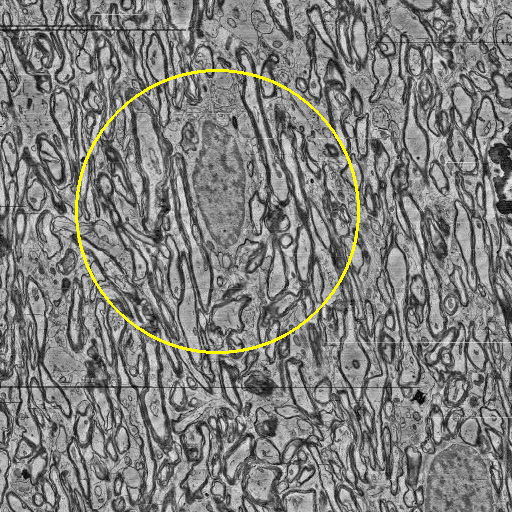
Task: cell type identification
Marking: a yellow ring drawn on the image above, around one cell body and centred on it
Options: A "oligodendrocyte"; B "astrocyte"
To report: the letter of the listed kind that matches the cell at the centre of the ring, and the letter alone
A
